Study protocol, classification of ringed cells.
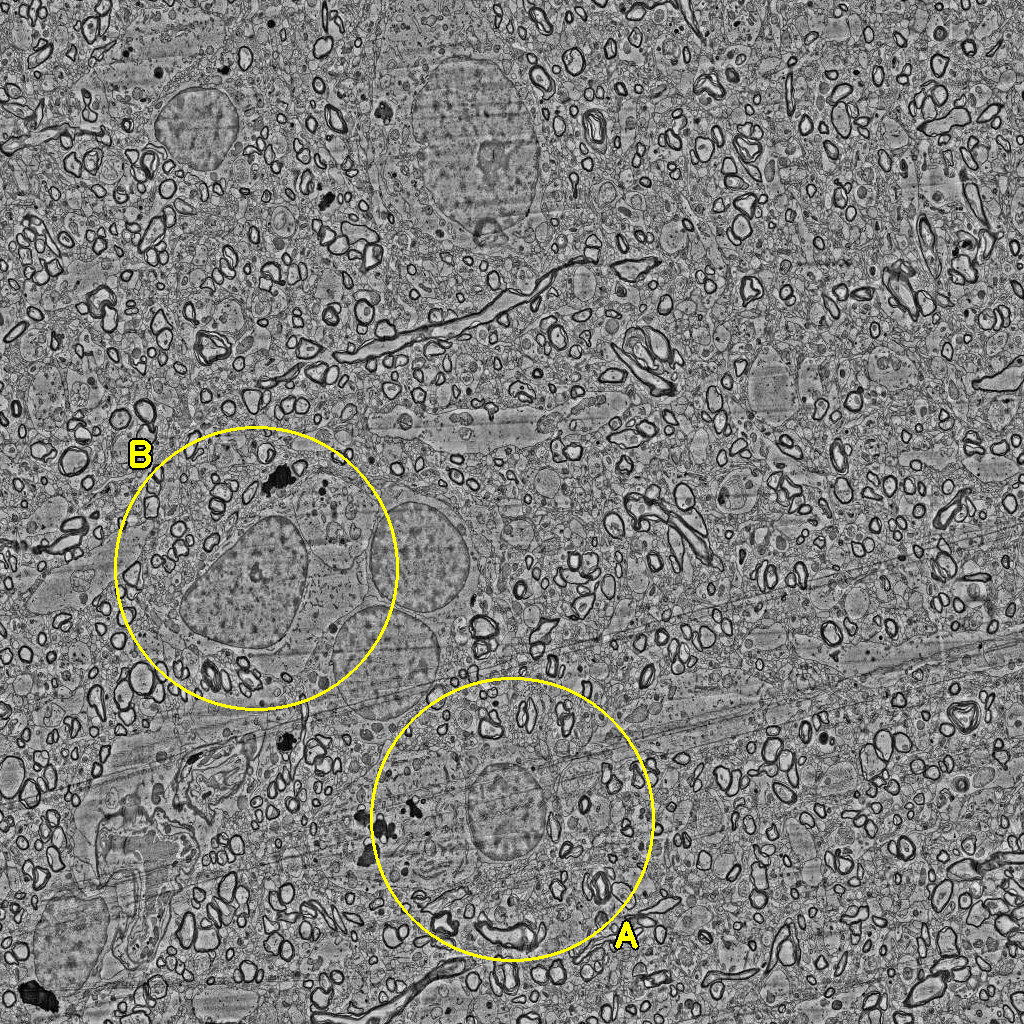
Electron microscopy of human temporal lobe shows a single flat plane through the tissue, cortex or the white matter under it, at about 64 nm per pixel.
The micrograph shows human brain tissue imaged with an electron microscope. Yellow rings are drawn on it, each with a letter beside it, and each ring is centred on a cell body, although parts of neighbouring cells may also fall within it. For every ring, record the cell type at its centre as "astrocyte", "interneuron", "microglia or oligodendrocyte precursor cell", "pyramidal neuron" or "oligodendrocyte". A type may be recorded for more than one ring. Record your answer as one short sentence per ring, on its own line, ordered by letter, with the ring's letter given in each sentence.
Ring A has been centred on an oligodendrocyte.
Ring B has been centred on a microglial cell or oligodendrocyte precursor cell.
